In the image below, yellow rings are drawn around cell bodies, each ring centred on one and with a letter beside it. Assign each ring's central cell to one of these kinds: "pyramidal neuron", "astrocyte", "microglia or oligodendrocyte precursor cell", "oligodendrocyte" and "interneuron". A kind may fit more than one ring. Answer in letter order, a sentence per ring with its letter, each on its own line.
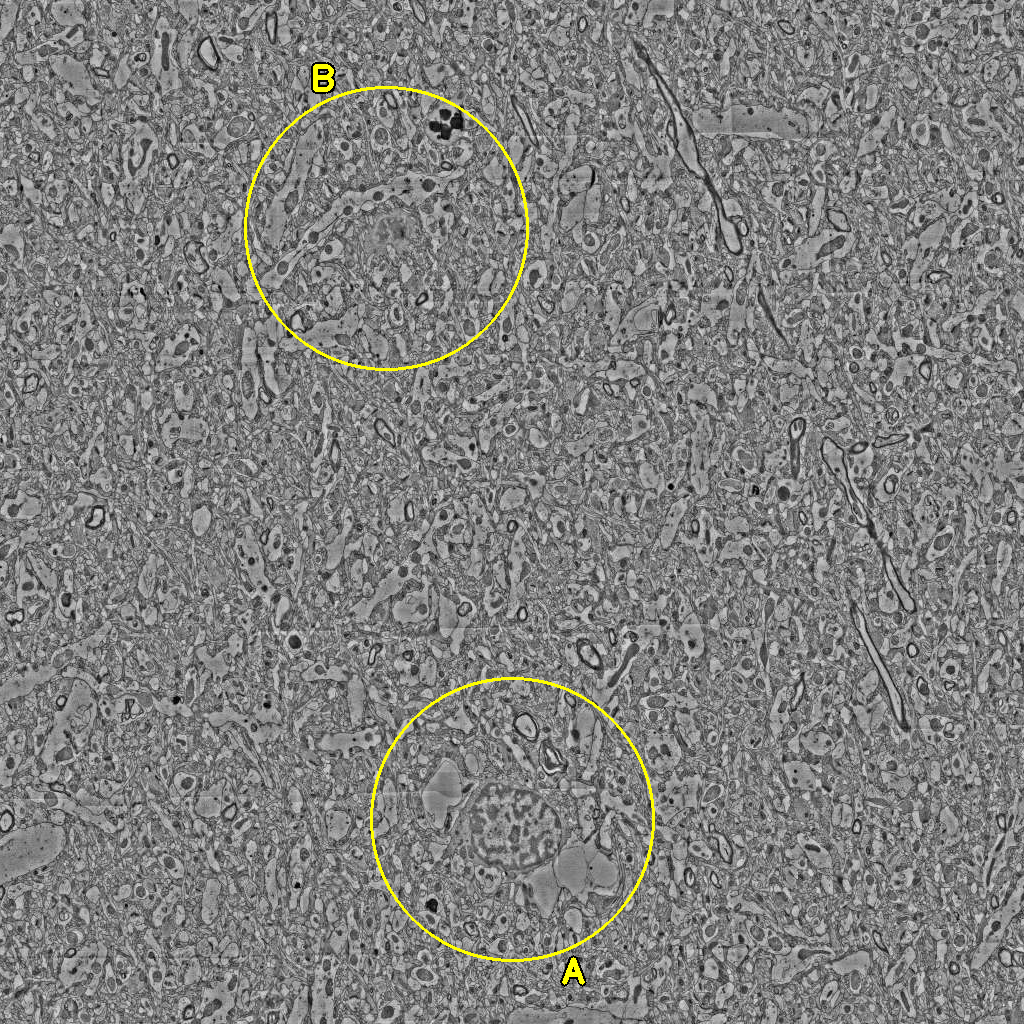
The central cell of ring A is an oligodendrocyte.
The central cell of ring B is an oligodendrocyte.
